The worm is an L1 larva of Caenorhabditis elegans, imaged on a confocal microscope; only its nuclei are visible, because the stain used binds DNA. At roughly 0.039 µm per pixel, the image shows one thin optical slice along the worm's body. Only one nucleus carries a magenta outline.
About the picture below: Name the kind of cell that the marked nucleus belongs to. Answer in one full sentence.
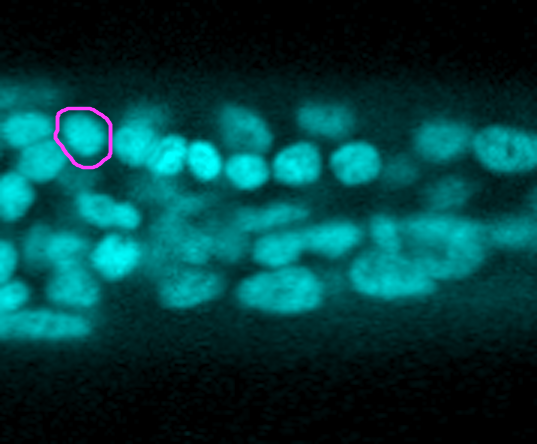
The marked cell is a neuron.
